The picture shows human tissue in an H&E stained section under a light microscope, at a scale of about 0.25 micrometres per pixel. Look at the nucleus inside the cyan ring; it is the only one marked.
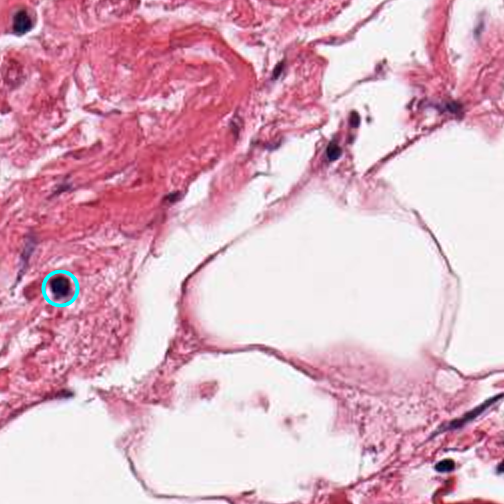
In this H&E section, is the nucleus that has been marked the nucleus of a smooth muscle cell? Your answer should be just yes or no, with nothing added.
no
